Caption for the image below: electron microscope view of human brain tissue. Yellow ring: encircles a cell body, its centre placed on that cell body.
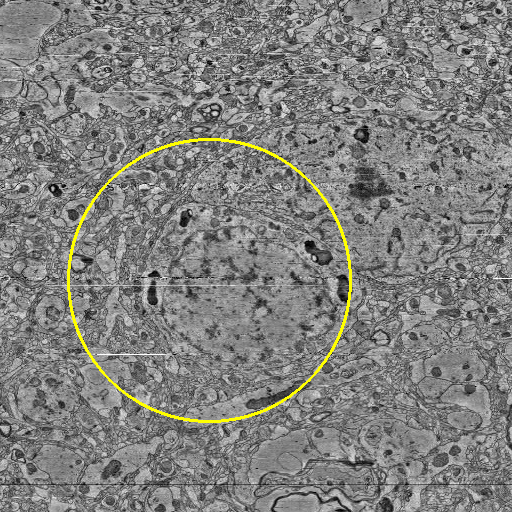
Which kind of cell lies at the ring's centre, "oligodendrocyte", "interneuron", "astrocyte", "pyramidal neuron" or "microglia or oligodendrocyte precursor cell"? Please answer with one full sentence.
The picture shows an interneuron at the centre of the yellow ring.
